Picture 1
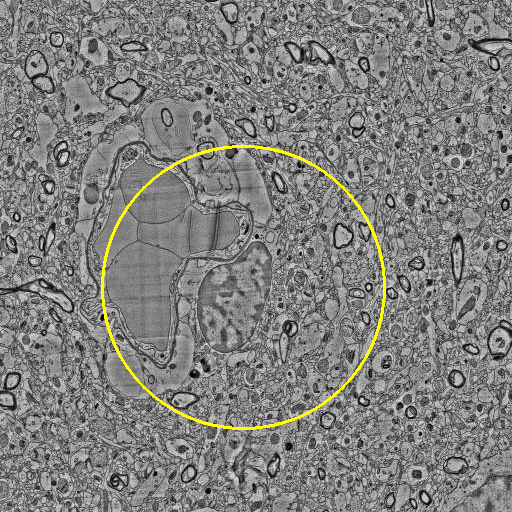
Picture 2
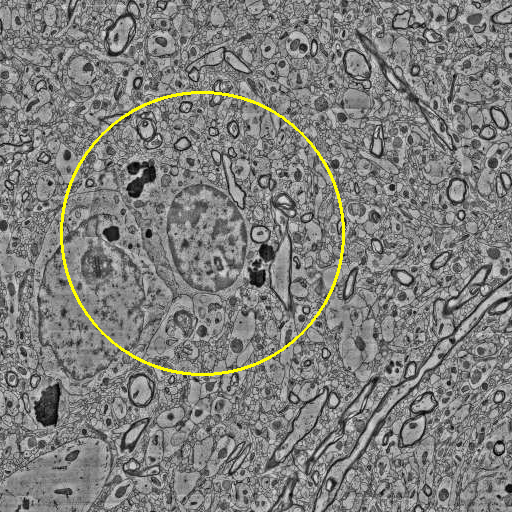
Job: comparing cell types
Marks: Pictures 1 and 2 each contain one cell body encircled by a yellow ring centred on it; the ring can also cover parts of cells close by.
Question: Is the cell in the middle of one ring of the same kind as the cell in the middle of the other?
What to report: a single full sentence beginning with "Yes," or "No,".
No, the cell at the ring centre in Picture 1 and its partner in Picture 2 are of two kinds.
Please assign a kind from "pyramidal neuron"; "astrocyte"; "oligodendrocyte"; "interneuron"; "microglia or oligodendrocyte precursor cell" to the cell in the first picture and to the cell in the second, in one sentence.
In the first picture we have a microglial cell or oligodendrocyte precursor cell, and in the second, an oligodendrocyte.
